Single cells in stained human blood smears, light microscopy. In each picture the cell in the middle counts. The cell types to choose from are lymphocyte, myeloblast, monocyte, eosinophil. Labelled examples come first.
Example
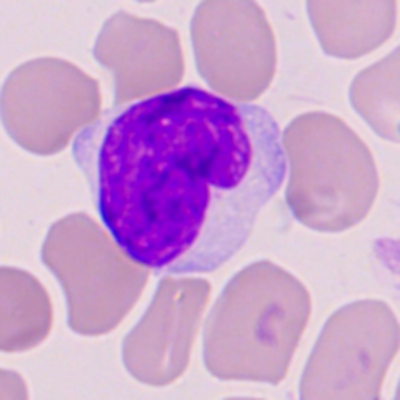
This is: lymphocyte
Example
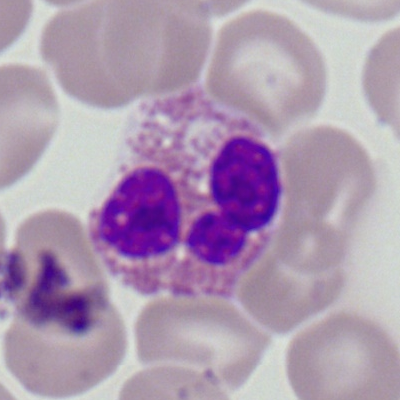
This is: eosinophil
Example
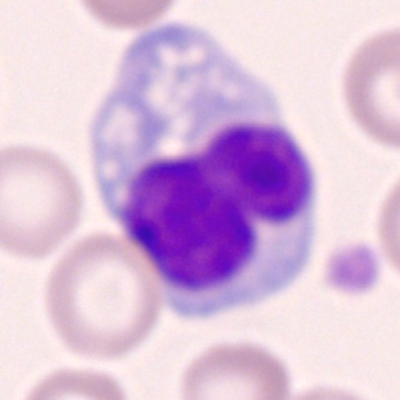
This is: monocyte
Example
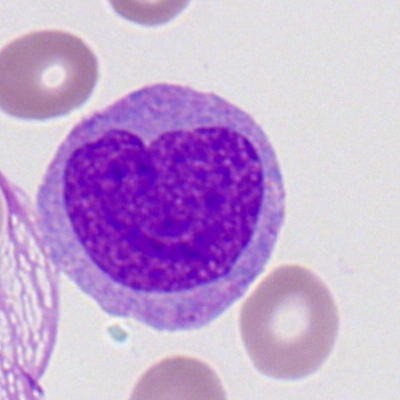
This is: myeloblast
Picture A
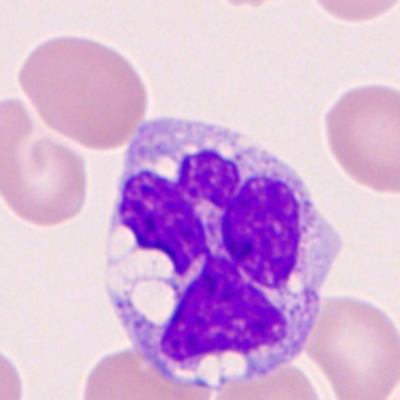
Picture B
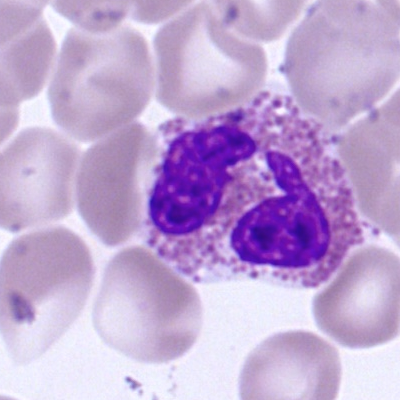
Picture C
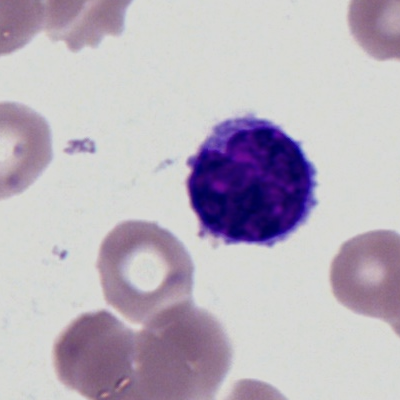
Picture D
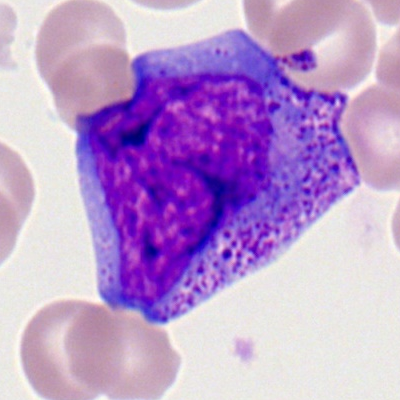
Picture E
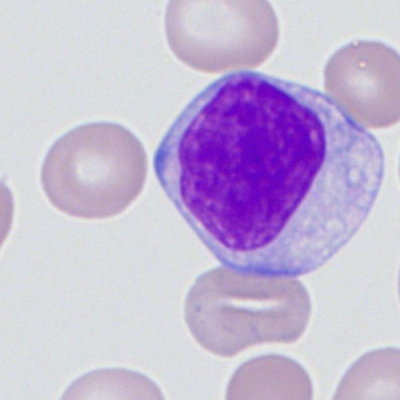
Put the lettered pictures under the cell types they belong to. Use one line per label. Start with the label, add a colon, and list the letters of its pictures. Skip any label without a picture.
lymphocyte: C, E
myeloblast: D
monocyte: A
eosinophil: B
